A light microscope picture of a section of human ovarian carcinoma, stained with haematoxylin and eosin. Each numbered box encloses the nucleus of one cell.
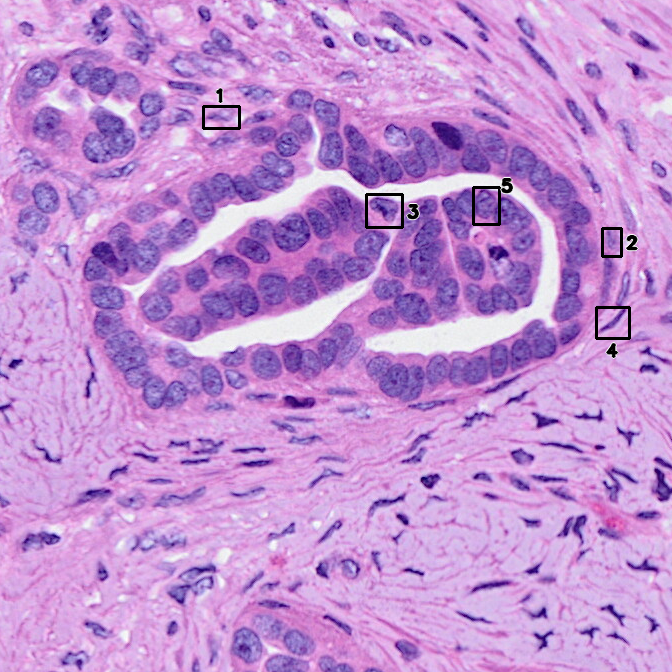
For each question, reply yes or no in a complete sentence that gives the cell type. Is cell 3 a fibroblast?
No, cell 3 is to be classed as a macrophage or monocyte, not a fibroblast.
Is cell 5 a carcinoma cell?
Yes, the cell that bears number 5 is a carcinoma cell.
